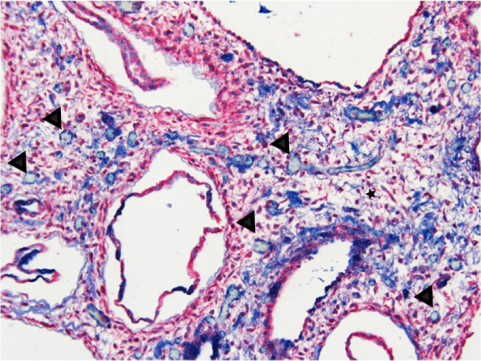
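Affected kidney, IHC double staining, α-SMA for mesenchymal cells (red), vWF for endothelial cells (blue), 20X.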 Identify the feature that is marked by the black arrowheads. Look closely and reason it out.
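Capillaries. The arrowheads point to small round profiles with a pale lumen. The profiles are outlined in blue within the red-stained stroma.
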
